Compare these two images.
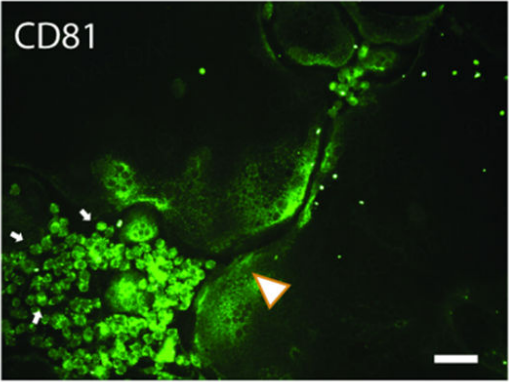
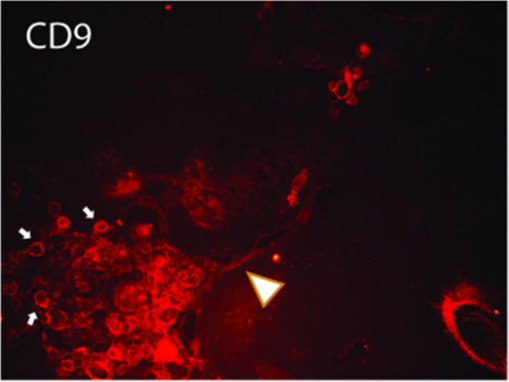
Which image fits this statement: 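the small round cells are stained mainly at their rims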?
The second image.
